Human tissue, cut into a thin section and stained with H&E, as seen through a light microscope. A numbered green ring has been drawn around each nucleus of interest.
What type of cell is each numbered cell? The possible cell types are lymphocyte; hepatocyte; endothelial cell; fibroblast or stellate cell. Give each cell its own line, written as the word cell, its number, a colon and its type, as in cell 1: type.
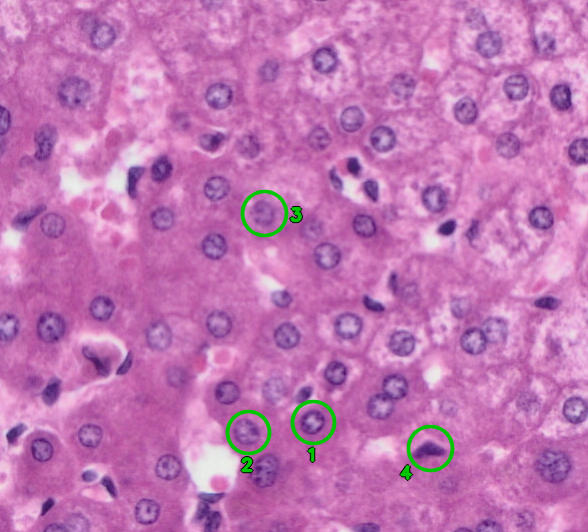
cell 1: hepatocyte
cell 2: hepatocyte
cell 3: hepatocyte
cell 4: fibroblast or stellate cell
